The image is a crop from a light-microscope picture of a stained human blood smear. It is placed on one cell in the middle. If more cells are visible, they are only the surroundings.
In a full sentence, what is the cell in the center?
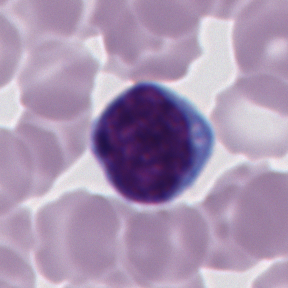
In the crop, the cell of interest at the centre is a lymphocyte.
